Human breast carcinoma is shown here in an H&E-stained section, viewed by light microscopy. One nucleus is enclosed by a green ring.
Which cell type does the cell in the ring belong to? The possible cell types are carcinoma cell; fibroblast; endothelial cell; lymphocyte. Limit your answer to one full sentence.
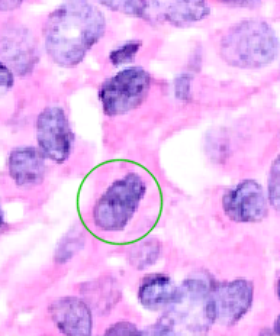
Cytologically, the cell in the ring is to be regarded as a carcinoma cell.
